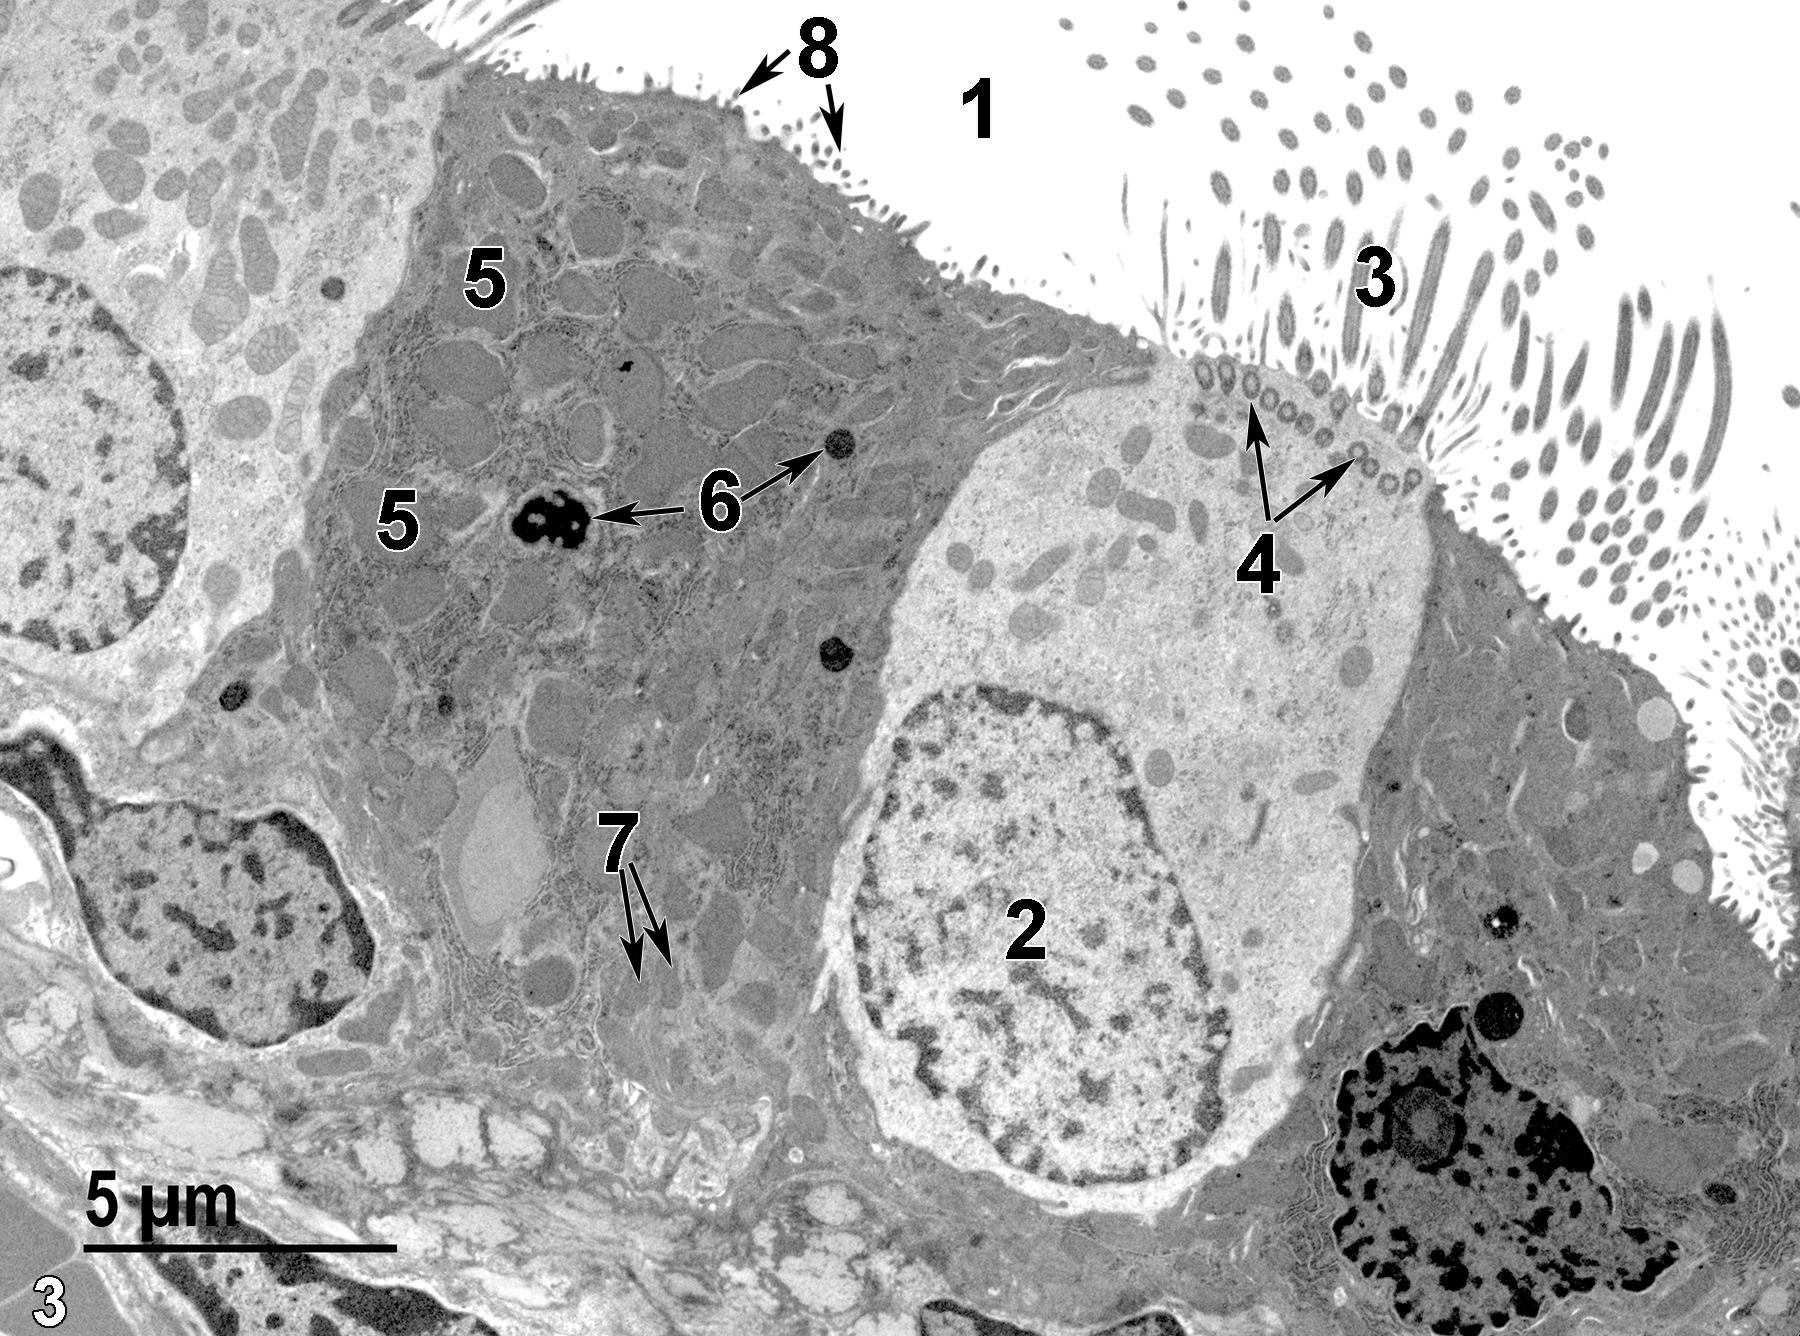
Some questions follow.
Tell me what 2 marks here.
Ciliated epithelial cell nucleus.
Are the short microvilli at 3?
No: the cilia.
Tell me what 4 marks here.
4 marks the apical basal bodies.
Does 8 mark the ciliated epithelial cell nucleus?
No: the short microvilli.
